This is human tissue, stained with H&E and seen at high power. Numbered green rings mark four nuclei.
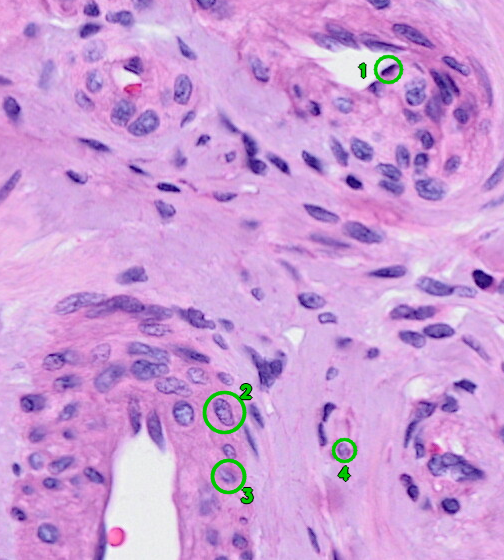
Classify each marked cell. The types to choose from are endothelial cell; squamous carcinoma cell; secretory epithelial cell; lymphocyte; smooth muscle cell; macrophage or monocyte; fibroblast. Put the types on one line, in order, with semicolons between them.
endothelial cell; smooth muscle cell; smooth muscle cell; smooth muscle cell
